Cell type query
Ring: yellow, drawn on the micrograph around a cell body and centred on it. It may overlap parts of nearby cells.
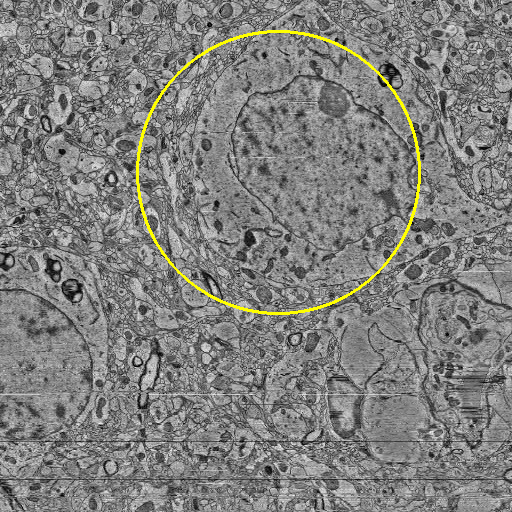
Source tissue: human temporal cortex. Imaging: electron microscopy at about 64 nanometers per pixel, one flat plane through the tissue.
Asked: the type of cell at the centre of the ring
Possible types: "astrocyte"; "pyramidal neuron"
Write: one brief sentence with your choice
The ring marks a pyramidal neuron.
